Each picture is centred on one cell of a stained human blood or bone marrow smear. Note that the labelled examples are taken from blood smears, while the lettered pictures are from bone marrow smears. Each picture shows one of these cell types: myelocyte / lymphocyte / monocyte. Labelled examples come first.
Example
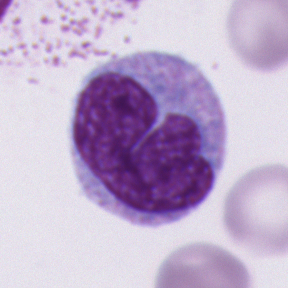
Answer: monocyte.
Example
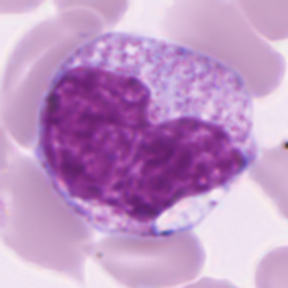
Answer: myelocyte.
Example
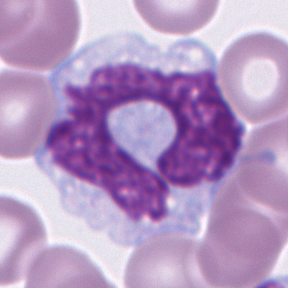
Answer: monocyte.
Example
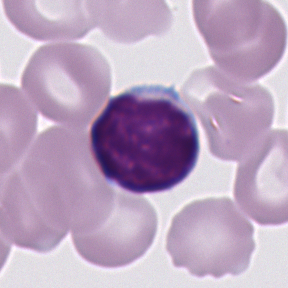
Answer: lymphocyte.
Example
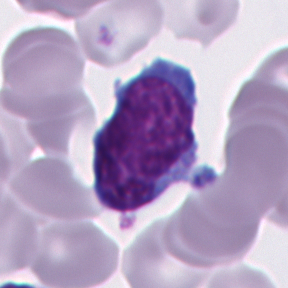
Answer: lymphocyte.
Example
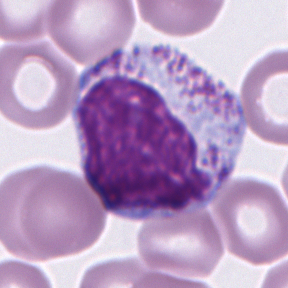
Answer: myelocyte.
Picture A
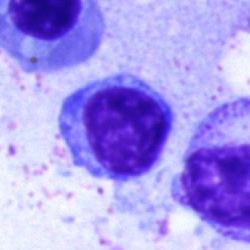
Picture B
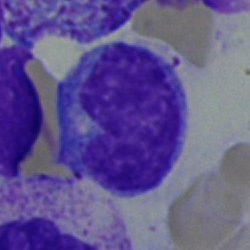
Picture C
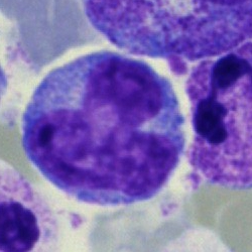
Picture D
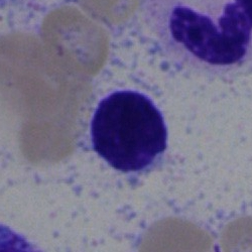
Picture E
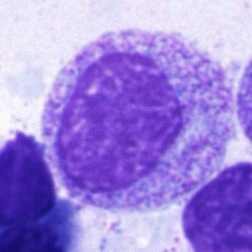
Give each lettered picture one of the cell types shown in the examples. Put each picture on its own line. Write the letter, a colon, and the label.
A: lymphocyte.
B: monocyte.
C: monocyte.
D: lymphocyte.
E: myelocyte.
